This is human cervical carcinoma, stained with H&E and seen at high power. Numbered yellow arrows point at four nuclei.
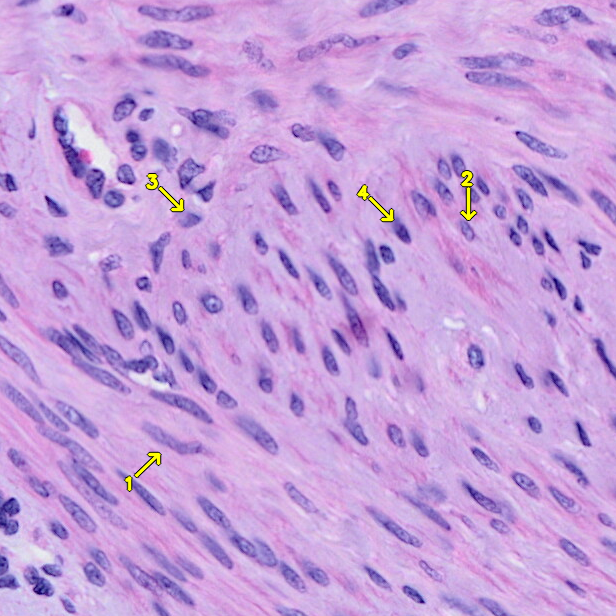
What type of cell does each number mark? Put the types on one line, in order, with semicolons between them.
smooth muscle cell; smooth muscle cell; fibroblast; fibroblast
